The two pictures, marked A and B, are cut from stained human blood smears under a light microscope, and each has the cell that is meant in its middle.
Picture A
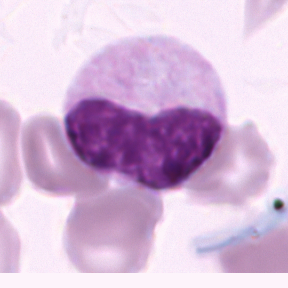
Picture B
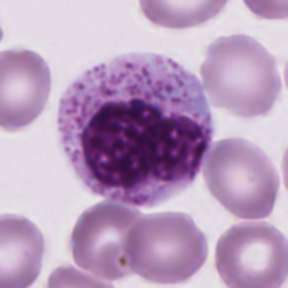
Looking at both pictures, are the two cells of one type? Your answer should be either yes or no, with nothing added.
no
